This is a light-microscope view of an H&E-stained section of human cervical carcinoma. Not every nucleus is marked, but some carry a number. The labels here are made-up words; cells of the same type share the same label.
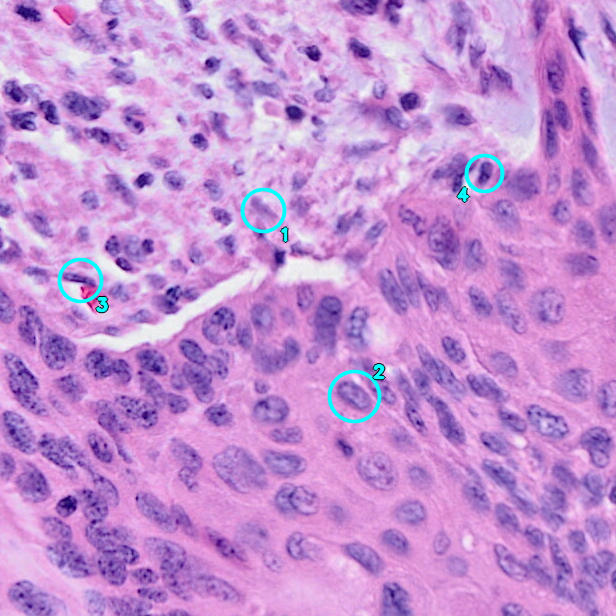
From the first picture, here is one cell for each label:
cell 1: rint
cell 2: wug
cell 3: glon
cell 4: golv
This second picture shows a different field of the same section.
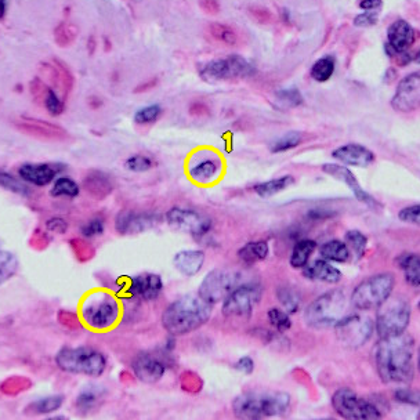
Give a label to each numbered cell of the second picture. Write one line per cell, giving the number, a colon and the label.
1: golv
2: glon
